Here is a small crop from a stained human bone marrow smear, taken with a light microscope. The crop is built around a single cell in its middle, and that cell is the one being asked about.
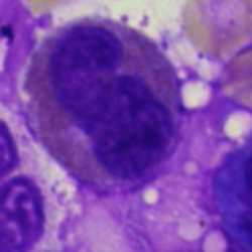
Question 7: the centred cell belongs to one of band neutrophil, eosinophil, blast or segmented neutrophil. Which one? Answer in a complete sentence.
The central cell in this smear crop is an eosinophil.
